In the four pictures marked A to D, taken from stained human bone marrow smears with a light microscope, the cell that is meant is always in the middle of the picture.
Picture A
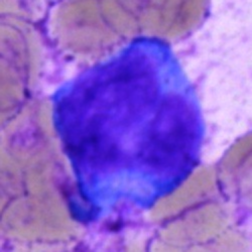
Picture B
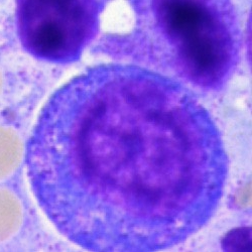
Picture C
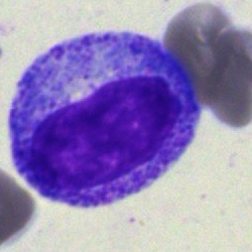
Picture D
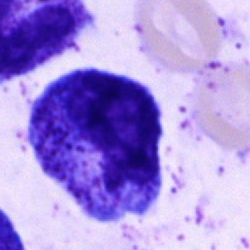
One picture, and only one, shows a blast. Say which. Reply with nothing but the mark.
A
